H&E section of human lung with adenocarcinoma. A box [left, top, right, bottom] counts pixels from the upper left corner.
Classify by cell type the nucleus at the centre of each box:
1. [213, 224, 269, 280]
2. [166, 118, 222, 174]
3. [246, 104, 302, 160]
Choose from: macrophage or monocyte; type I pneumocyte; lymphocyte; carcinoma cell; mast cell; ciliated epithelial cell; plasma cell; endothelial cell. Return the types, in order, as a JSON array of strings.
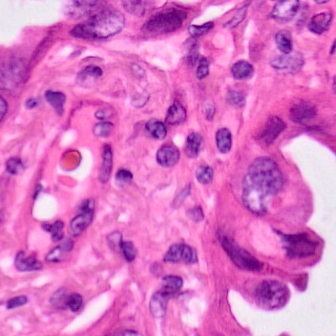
["carcinoma cell", "lymphocyte", "carcinoma cell"]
